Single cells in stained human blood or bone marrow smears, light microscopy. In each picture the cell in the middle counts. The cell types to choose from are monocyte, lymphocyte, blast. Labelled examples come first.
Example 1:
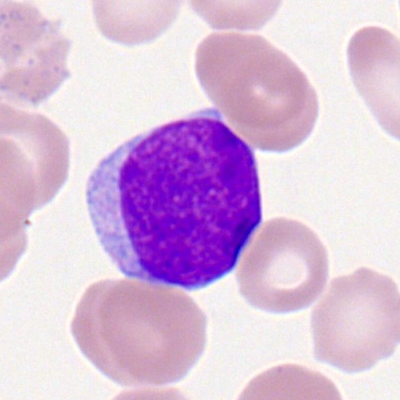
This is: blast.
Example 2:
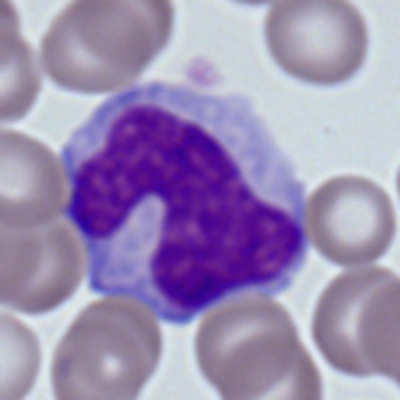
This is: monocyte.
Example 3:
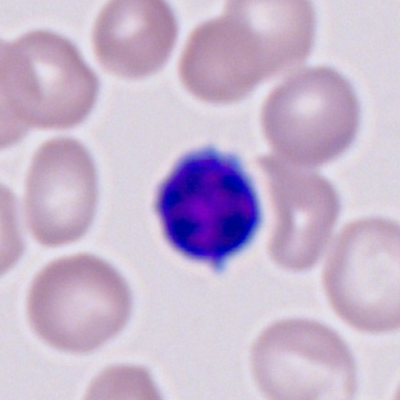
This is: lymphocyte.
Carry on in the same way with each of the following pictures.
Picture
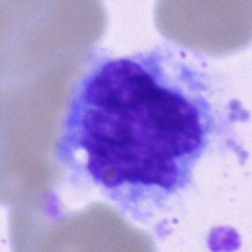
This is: monocyte.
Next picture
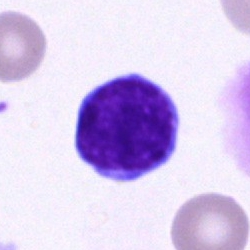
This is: lymphocyte.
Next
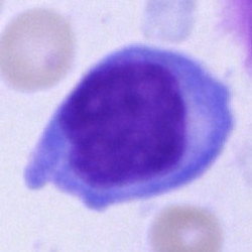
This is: blast.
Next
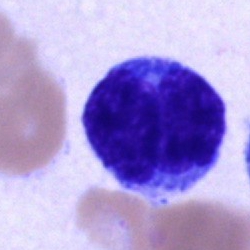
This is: blast.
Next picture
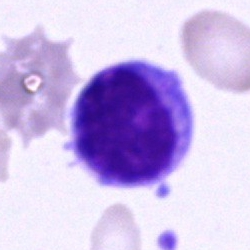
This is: lymphocyte.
